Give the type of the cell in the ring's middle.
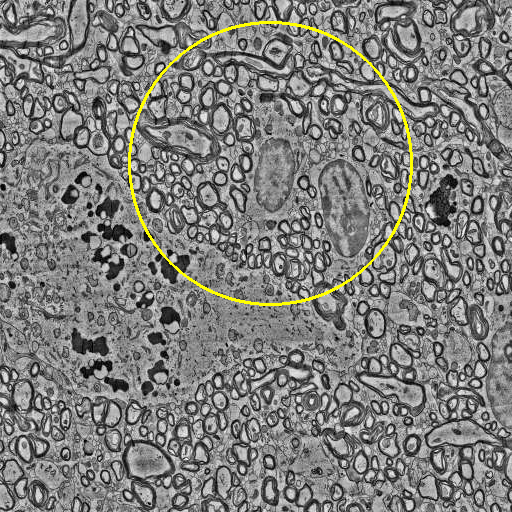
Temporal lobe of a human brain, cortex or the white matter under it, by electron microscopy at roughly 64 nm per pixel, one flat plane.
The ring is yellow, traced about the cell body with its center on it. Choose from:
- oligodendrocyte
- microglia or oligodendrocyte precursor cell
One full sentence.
Here, an oligodendrocyte is the cell lying at the center of the yellow ring.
